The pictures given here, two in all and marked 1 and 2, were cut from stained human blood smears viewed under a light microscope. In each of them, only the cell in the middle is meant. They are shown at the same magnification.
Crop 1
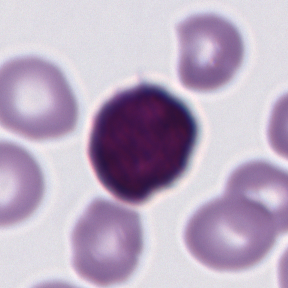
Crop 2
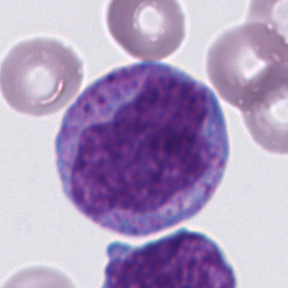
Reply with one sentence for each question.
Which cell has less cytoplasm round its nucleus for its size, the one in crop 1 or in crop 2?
The nucleus fills more of the cell in crop 1 than in crop 2.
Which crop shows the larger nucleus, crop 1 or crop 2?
The nucleus in crop 2 is larger, with about 1.5 times the area of the one in crop 1.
